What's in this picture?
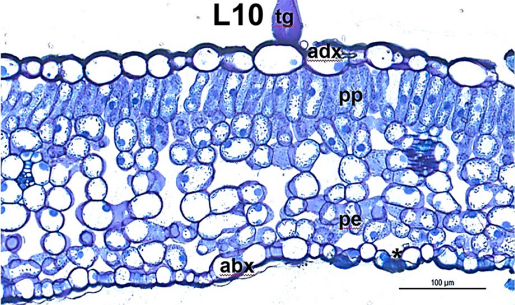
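Here a leaf is cut across, showing the mesophyll between two epidermal layers. On the upper surface a glandular trichome projects as a small purple, pointed outgrowth above a row of large, clear epidermal cells. Under the epidermis a layer of elongated palisade cells stands perpendicular to the surface, while below them the spongy parenchyma consists of rounded, loosely packed cells with many air spaces. The lower epidermis is a row of smaller cells along the bottom edge.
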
